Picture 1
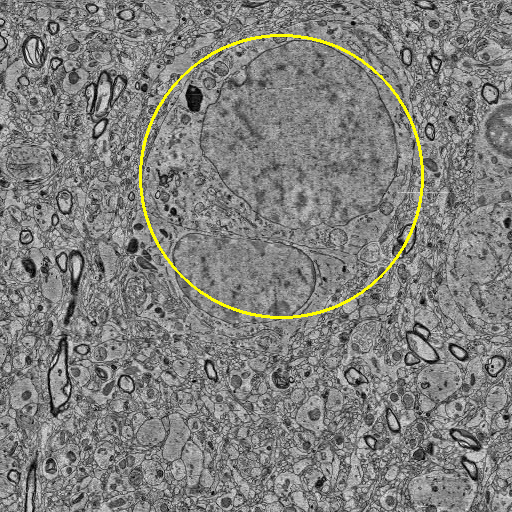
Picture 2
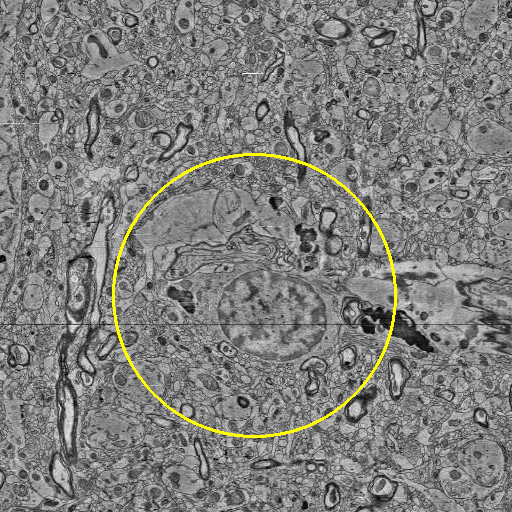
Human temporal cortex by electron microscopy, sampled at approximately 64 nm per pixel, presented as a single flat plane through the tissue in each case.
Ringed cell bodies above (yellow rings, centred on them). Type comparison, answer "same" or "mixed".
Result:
mixed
